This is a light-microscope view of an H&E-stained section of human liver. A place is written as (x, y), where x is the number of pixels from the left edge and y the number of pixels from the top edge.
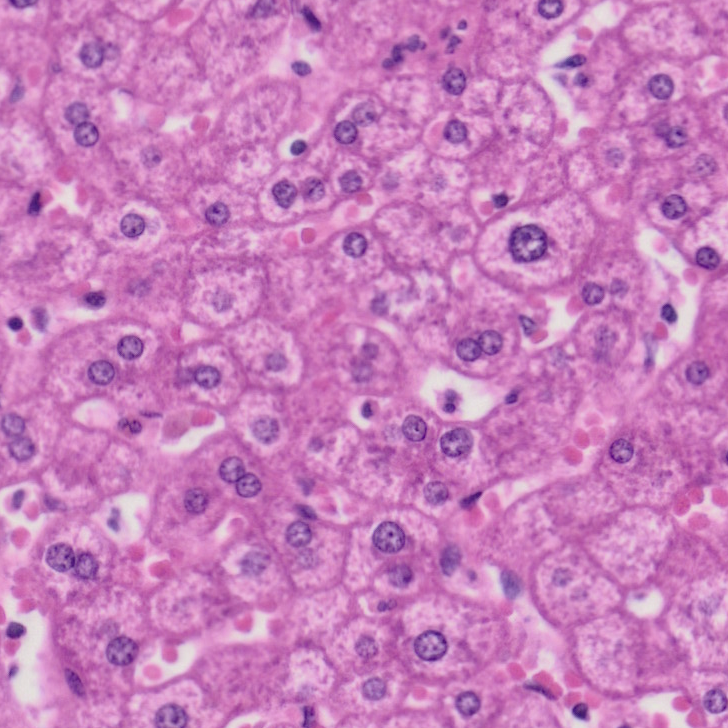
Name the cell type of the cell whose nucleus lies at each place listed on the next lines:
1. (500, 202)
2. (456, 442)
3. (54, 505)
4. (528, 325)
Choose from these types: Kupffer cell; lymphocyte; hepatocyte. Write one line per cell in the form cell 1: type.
cell 1: lymphocyte
cell 2: hepatocyte
cell 3: Kupffer cell
cell 4: Kupffer cell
